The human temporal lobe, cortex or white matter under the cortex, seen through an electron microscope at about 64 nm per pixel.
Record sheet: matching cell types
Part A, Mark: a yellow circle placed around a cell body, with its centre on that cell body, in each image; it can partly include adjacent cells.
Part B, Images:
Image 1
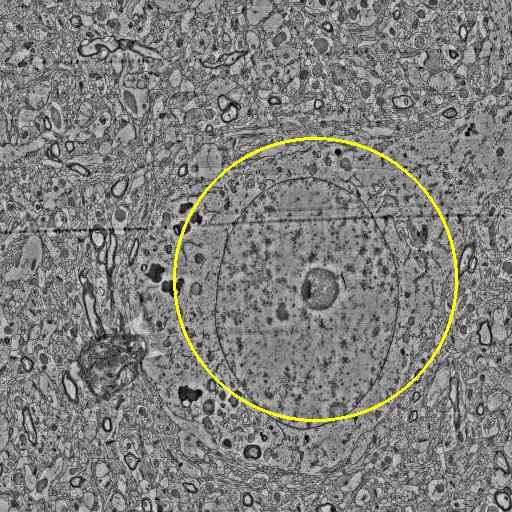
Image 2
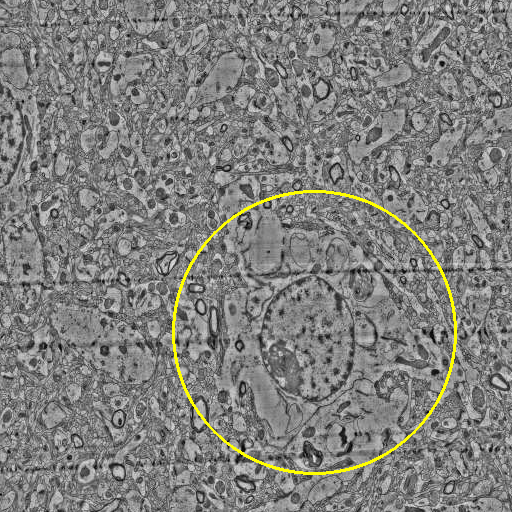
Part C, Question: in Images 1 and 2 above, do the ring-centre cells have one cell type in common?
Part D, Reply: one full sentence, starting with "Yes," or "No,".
No, the ring-centre cells of Image 1 and Image 2 are each of a separate cell type.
